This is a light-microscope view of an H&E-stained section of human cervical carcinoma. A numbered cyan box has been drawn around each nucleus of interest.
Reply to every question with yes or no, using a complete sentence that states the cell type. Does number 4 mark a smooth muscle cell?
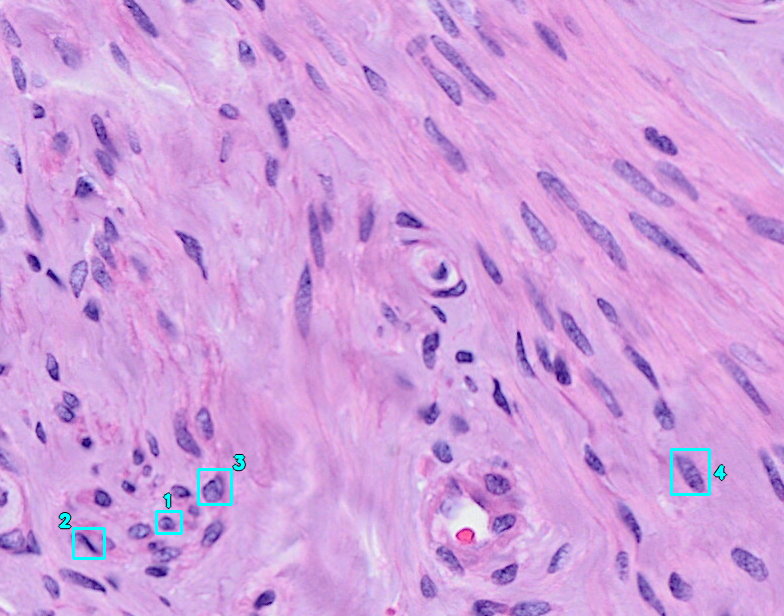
No, the cell denoted 4 is a fibroblast rather than a smooth muscle cell.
